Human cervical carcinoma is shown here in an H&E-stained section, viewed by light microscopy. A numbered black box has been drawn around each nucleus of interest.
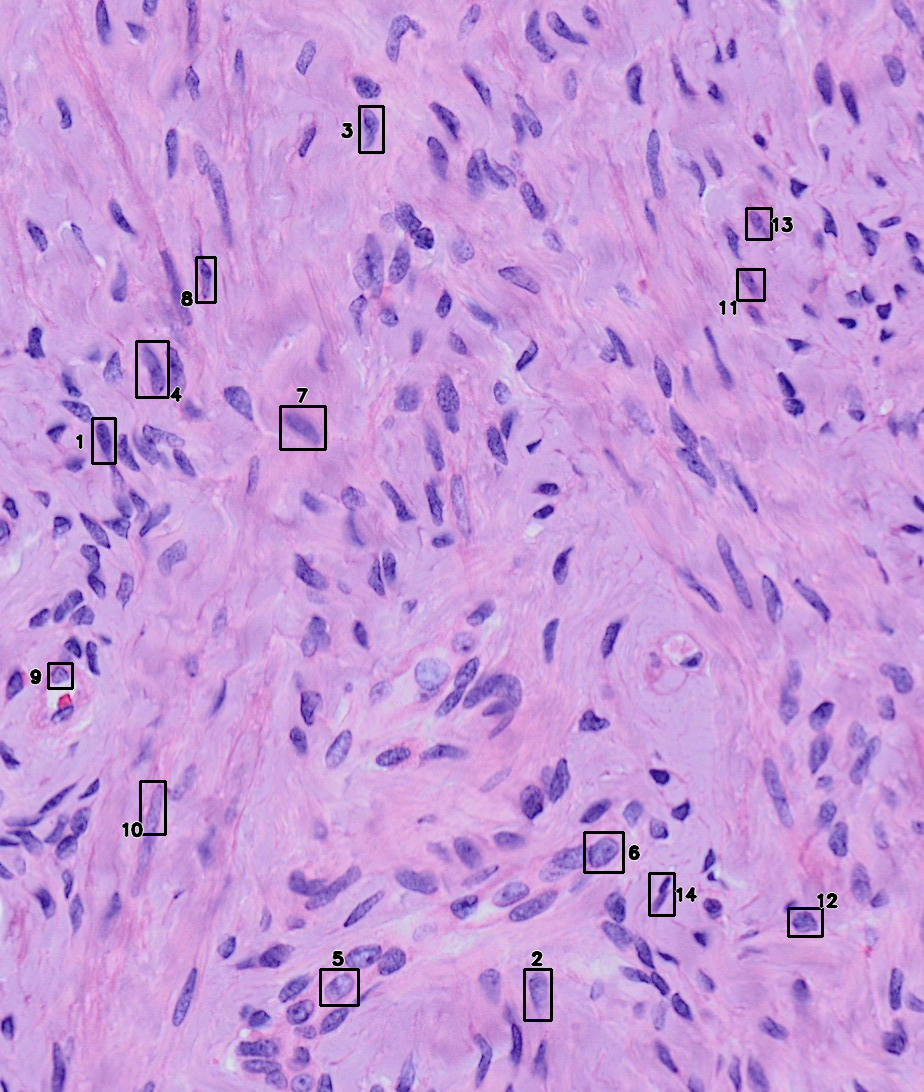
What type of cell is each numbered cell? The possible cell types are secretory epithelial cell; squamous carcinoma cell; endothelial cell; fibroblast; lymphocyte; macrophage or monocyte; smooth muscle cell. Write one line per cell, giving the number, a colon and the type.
1: fibroblast
2: fibroblast
3: fibroblast
4: fibroblast
5: endothelial cell
6: endothelial cell
7: fibroblast
8: smooth muscle cell
9: endothelial cell
10: smooth muscle cell
11: smooth muscle cell
12: fibroblast
13: smooth muscle cell
14: fibroblast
